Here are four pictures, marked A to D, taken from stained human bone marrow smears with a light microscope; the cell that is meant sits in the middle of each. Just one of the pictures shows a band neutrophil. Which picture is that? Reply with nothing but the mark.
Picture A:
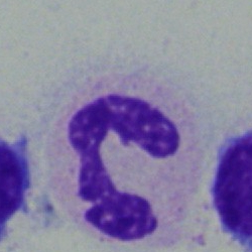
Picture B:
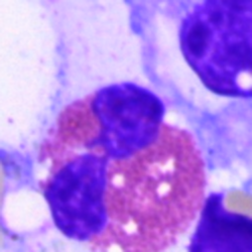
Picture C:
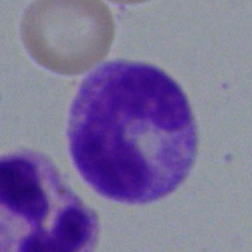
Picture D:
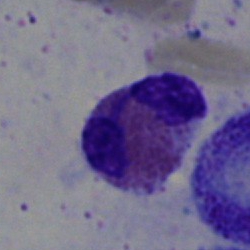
C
